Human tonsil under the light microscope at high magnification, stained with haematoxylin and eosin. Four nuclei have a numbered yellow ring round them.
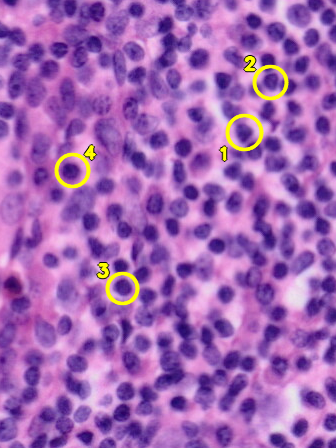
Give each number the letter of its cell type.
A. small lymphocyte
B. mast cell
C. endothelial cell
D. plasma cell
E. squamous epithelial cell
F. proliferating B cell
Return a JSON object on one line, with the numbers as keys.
{"1": "A", "2": "A", "3": "A", "4": "D"}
